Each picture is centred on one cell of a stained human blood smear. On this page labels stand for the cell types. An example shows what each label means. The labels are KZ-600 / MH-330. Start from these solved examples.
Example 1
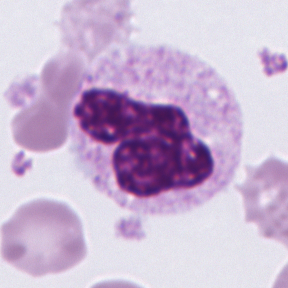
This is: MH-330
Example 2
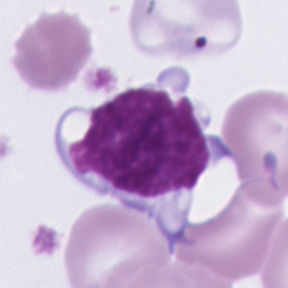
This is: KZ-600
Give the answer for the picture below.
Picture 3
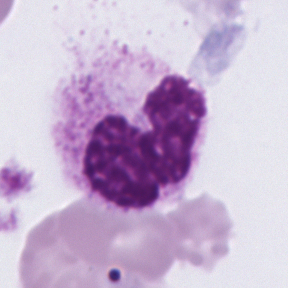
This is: MH-330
